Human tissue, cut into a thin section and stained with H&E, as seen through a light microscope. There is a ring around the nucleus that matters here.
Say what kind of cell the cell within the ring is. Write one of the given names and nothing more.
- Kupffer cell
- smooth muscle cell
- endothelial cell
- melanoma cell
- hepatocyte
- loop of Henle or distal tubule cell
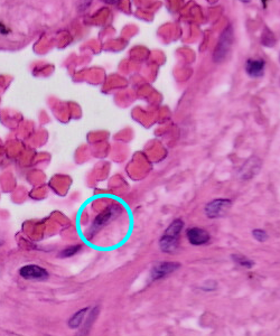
endothelial cell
